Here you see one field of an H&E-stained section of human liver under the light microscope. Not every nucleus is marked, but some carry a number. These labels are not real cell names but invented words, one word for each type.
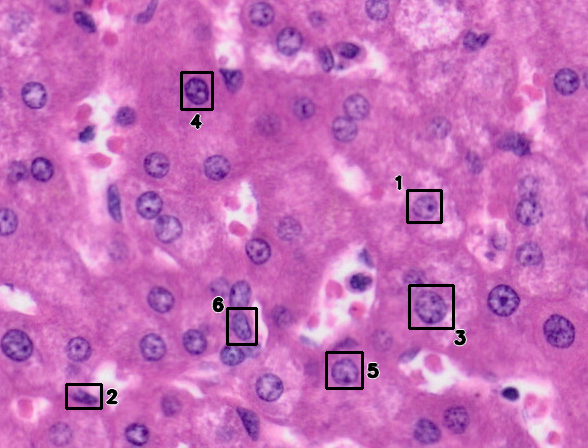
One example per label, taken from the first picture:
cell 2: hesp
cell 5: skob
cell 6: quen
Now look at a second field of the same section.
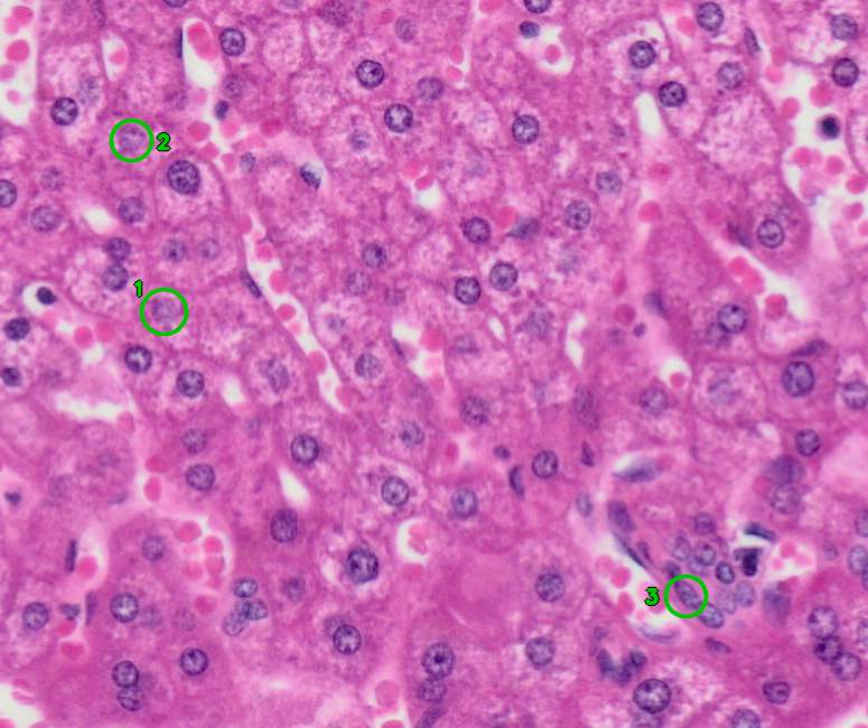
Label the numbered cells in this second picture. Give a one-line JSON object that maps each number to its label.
{"1": "skob", "2": "skob", "3": "quen"}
